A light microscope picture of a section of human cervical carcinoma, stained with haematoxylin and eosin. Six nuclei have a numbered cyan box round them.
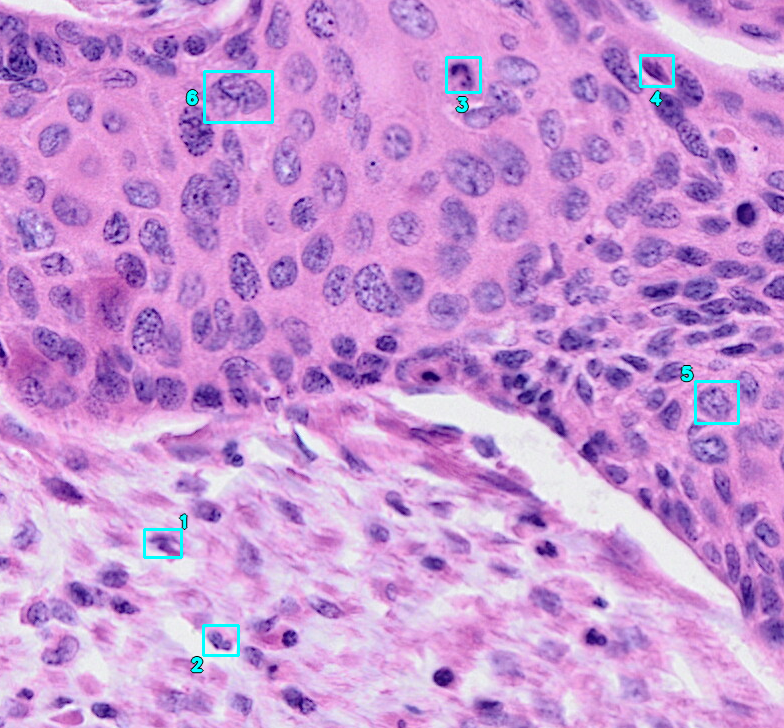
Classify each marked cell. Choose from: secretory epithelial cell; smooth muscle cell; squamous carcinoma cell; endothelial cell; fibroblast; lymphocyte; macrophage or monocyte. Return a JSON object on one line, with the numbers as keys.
{"1": "fibroblast", "2": "lymphocyte", "3": "squamous carcinoma cell", "4": "squamous carcinoma cell", "5": "squamous carcinoma cell", "6": "squamous carcinoma cell"}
